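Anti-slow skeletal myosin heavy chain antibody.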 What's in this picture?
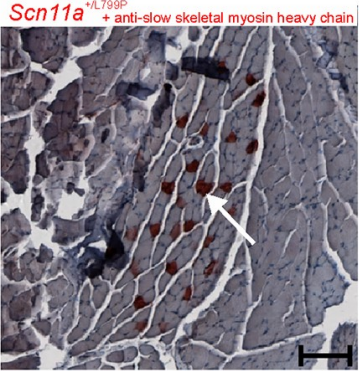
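Fibers are polygonal, packed in fascicles separated by pale gaps of connective tissue, some fascicles cut obliquely and appearing elongated. Most fibers are unstained, pale blue-grey, with small dark nuclei at their edges. A scattered minority of fibers, clustered in one region, stain dark reddish-brown throughout their cytoplasm and lie singly among the unstained fibers. Darker irregular folds of tissue appear at the upper left.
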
